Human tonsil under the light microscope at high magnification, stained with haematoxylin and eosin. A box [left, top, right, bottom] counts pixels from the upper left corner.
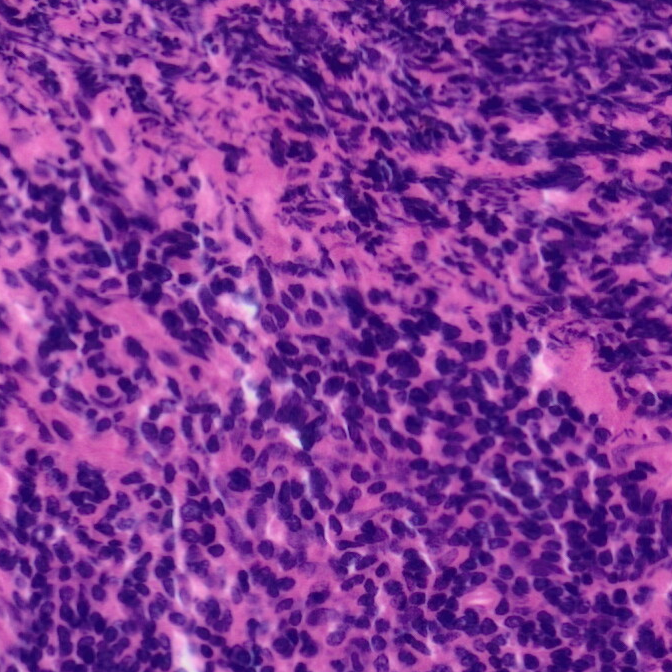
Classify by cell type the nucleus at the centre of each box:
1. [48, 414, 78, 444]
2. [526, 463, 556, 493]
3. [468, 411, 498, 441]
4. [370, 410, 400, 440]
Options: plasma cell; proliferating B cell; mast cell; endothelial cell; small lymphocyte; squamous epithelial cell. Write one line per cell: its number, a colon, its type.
1: endothelial cell
2: small lymphocyte
3: small lymphocyte
4: small lymphocyte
